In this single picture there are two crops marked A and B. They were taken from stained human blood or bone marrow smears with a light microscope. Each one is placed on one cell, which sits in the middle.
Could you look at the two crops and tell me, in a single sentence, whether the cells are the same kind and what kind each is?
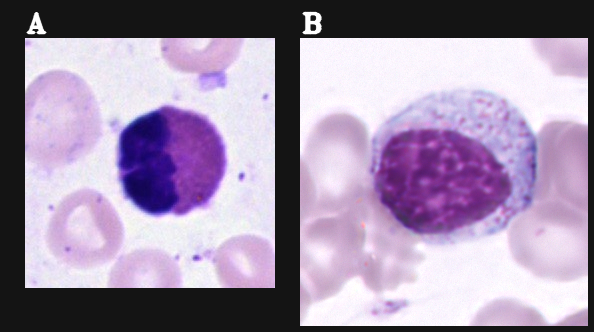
No, crop A carries an eosinophil at its centre, and crop B carries a metamyelocyte.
